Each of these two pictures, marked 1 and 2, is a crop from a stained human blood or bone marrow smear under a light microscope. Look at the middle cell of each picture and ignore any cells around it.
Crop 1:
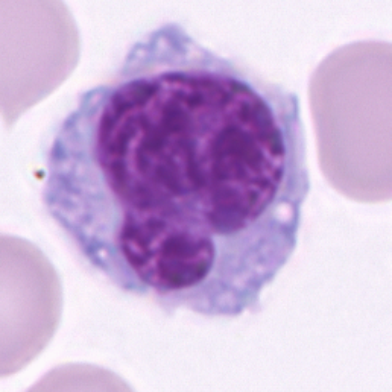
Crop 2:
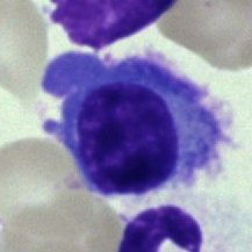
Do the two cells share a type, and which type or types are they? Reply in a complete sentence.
Yes, both crops do show plasma cells in the middle.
